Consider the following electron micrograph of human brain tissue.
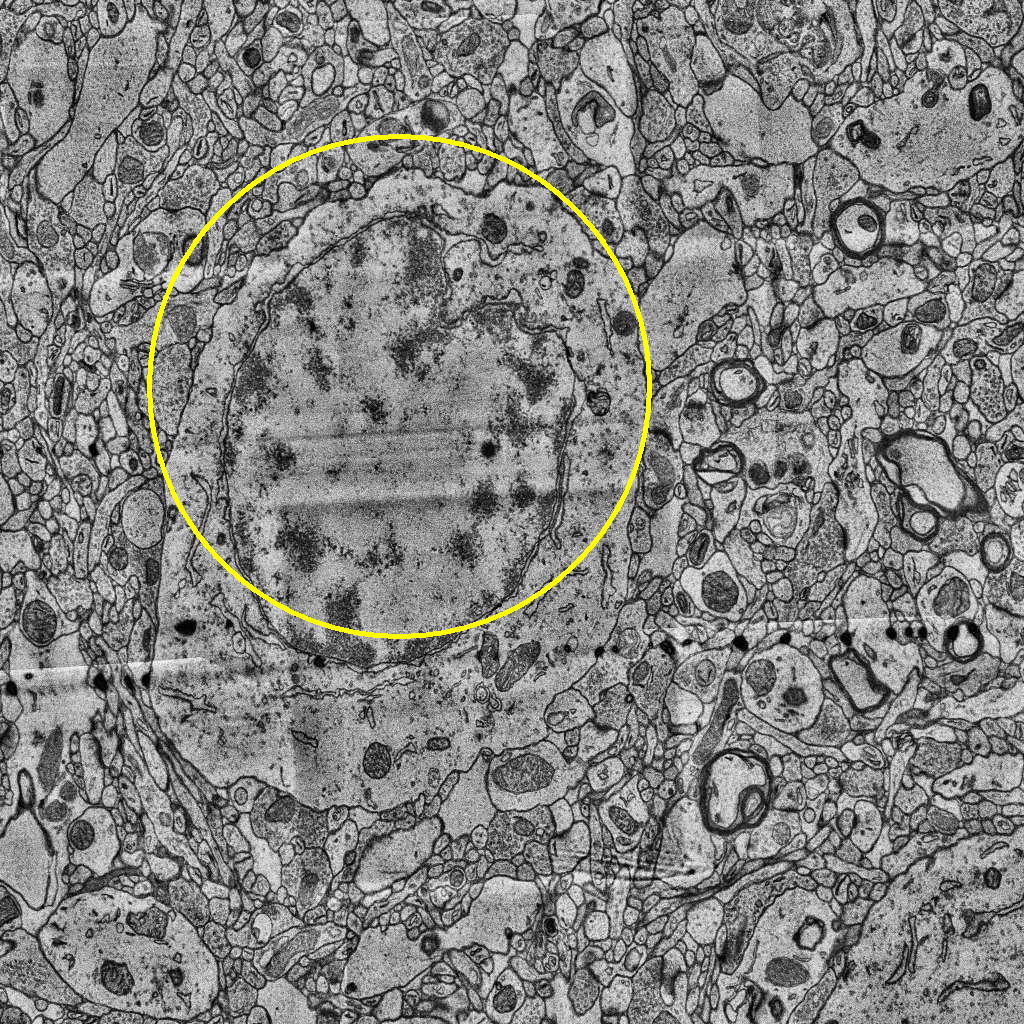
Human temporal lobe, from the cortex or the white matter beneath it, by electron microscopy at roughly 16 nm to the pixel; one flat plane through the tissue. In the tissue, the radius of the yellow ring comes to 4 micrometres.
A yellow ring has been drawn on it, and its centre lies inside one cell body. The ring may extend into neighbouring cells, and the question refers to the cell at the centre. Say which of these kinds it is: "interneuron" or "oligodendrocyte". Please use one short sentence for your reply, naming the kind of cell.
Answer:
The centre of the ring falls on an interneuron.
